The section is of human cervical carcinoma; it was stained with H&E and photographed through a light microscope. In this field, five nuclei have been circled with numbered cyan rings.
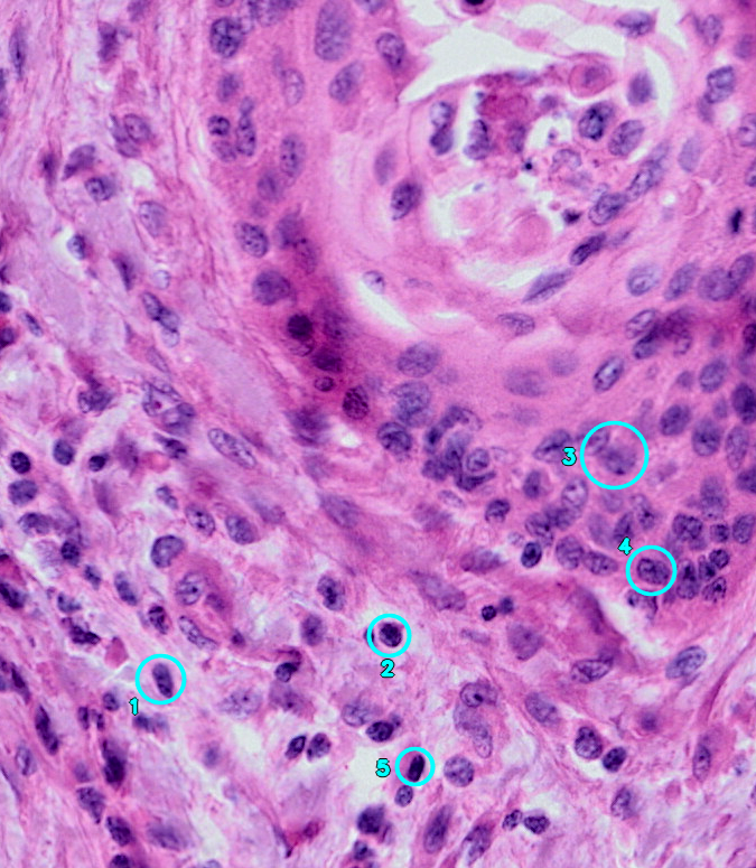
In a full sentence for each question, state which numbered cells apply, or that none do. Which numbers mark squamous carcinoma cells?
Cells 3 and 4 are classified as squamous carcinoma cells.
